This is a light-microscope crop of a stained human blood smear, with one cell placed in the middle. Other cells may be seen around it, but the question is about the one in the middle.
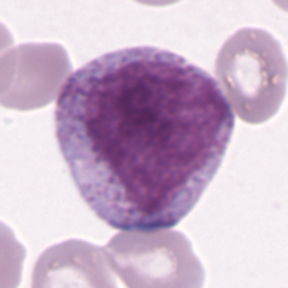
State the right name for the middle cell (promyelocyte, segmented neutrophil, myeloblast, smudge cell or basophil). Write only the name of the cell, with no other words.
promyelocyte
